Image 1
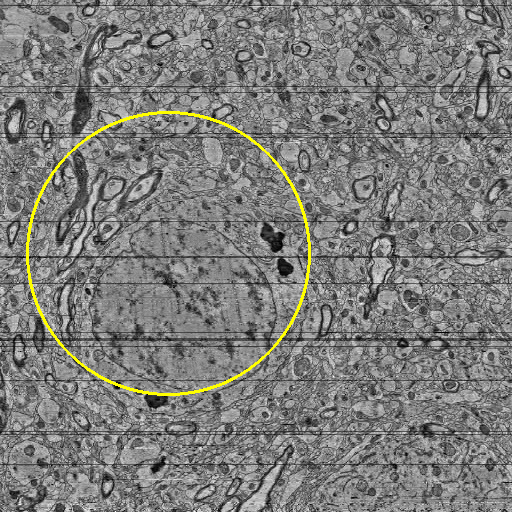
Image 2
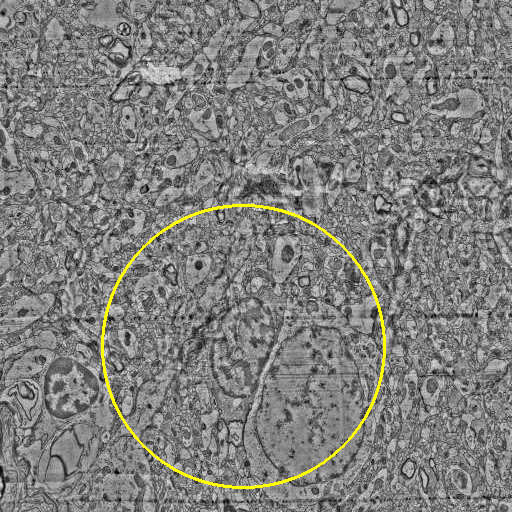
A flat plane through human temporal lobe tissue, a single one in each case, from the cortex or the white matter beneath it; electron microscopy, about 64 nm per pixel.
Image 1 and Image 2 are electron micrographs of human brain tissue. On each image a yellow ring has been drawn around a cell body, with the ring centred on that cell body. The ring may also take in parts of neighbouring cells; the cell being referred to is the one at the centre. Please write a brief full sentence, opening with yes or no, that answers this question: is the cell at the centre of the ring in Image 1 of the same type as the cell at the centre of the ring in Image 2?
No, the two cells are of two types.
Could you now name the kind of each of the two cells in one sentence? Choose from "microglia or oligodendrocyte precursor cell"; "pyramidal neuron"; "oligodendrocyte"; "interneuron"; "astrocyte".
The first ring encloses a pyramidal neuron; the second ring encloses an oligodendrocyte.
